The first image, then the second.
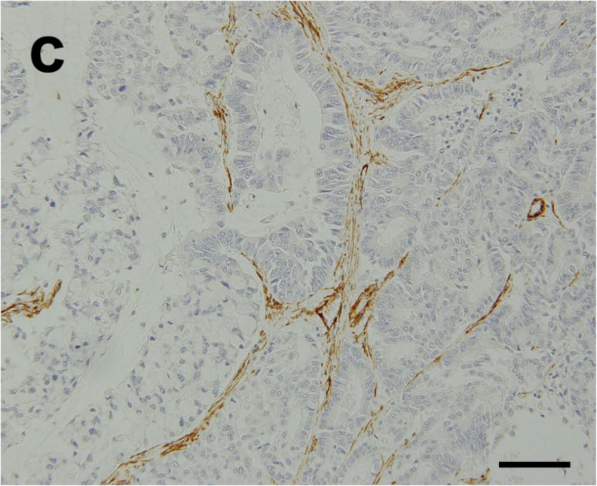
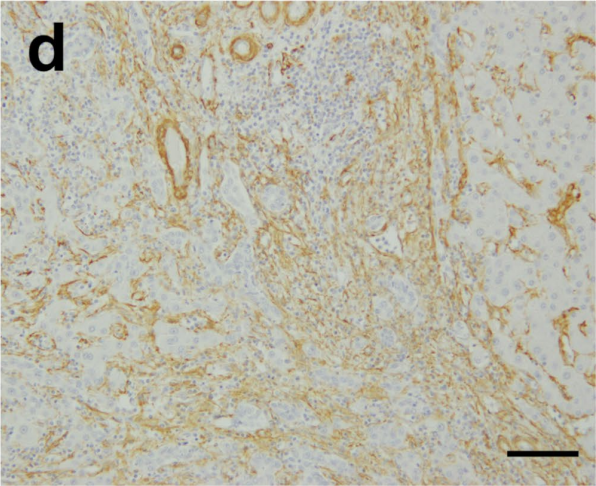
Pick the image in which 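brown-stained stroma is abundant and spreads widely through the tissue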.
The second image.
